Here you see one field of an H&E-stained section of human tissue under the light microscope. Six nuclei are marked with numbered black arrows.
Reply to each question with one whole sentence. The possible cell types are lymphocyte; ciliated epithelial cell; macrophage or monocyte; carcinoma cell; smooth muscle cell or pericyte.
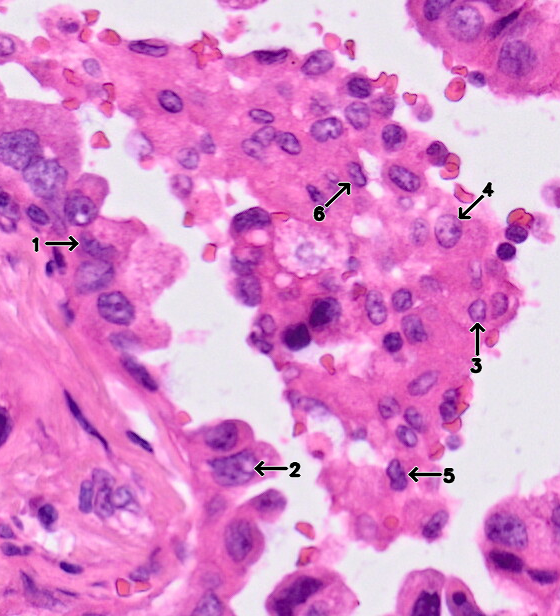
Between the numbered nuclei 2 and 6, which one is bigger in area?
It is nucleus 2, which covers about 3 times the area of nucleus 6.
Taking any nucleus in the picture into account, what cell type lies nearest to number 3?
The cell nearest to number 3 is a macrophage or monocyte.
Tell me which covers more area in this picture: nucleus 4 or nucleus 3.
Of the two, number 4 is bigger and takes up about 2.5 times the area of number 3.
